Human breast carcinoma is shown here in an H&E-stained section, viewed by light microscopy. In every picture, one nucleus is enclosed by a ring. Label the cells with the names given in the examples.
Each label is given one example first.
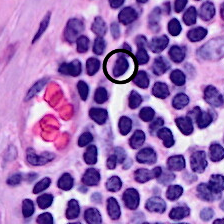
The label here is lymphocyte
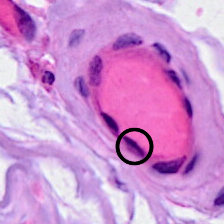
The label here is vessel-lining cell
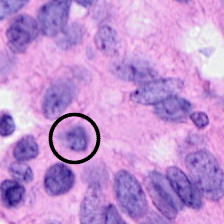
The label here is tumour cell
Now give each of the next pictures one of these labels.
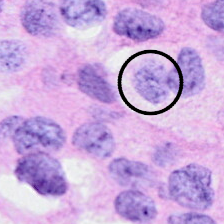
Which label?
tumour cell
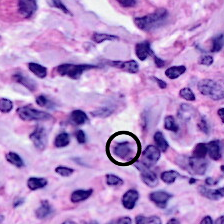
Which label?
lymphocyte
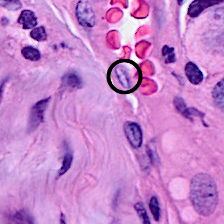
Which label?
vessel-lining cell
